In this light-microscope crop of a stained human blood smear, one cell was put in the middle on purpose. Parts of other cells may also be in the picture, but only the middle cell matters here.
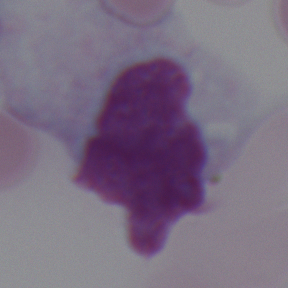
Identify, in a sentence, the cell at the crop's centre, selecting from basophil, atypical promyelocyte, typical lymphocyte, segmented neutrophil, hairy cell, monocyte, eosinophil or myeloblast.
The cell at the centre of the field is a monocyte.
